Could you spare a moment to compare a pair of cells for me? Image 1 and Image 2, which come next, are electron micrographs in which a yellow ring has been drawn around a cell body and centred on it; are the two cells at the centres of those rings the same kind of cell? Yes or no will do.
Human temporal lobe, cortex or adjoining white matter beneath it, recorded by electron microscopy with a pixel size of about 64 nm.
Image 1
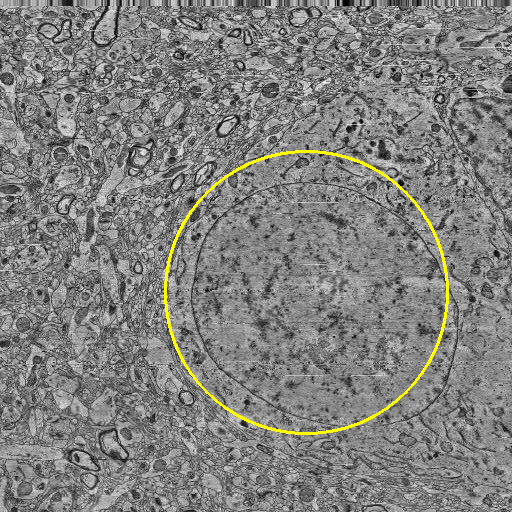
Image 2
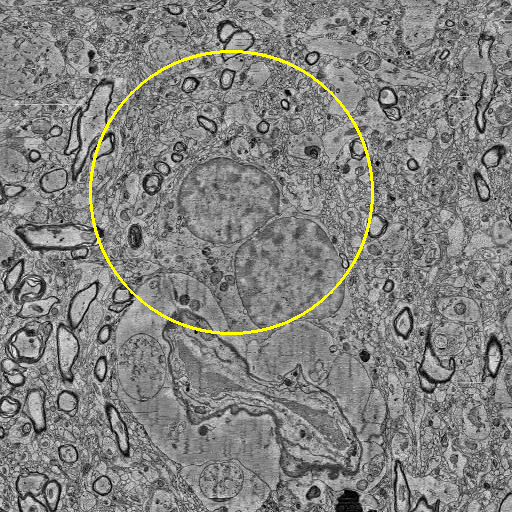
no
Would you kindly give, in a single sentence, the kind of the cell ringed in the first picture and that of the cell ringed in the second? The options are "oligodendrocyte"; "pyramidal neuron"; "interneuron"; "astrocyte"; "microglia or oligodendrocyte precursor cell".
The second cell is an oligodendrocyte, and the first cell is a pyramidal neuron.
